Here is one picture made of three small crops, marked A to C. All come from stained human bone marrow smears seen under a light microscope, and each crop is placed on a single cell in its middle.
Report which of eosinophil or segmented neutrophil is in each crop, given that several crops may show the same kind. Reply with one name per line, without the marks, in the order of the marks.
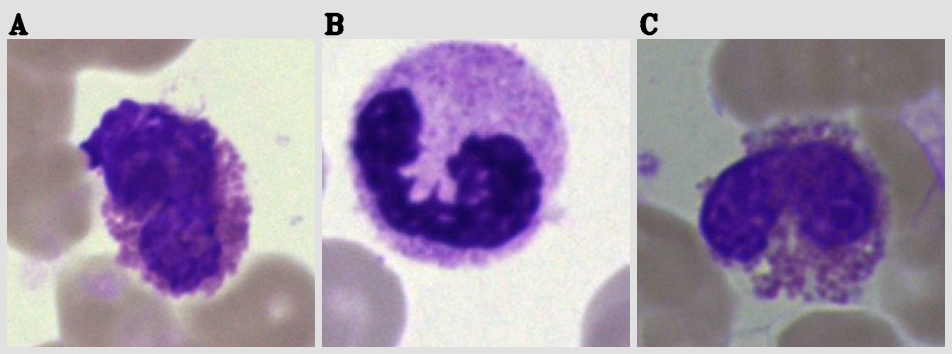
eosinophil
segmented neutrophil
eosinophil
